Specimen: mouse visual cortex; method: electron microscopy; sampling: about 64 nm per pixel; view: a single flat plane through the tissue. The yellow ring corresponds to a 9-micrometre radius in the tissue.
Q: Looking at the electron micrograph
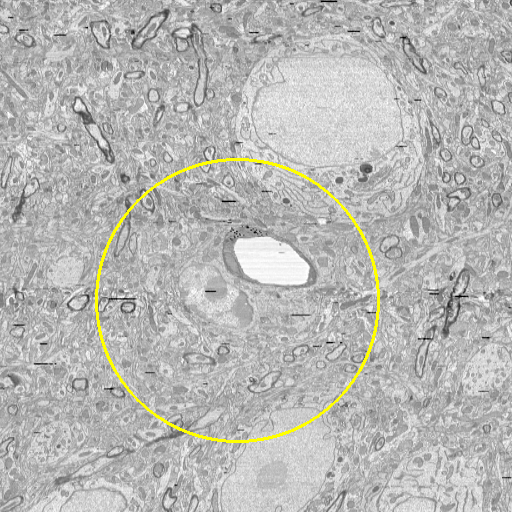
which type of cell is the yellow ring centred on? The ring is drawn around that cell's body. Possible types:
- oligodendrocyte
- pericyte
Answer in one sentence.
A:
The yellow ring is centred on an oligodendrocyte.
